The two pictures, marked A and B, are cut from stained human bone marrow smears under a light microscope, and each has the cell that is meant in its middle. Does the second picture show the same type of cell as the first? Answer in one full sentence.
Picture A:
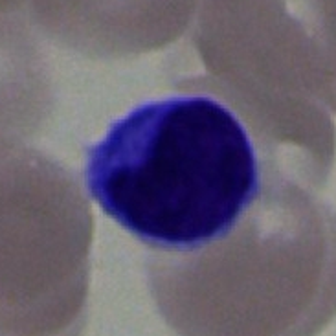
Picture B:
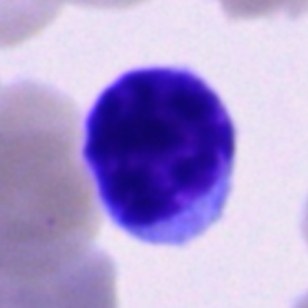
Yes, both cells are lymphocytes.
